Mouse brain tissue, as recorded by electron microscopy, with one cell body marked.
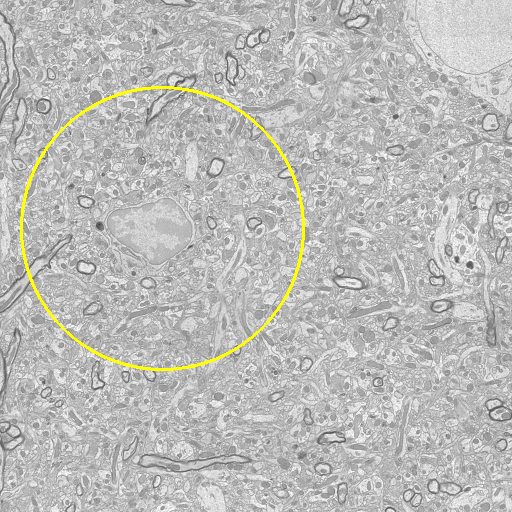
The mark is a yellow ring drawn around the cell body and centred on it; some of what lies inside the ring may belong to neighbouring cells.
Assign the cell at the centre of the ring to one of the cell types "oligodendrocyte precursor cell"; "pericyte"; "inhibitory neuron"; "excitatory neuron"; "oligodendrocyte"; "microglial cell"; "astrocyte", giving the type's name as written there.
microglial cell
